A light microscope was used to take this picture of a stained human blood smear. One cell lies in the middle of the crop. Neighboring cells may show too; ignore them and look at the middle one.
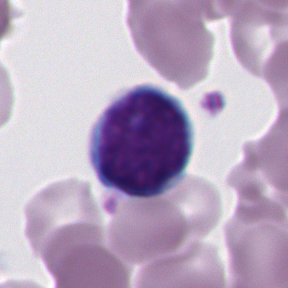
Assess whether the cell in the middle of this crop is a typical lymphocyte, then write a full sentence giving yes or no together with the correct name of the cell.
Yes, this crop has a typical lymphocyte at its centre.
